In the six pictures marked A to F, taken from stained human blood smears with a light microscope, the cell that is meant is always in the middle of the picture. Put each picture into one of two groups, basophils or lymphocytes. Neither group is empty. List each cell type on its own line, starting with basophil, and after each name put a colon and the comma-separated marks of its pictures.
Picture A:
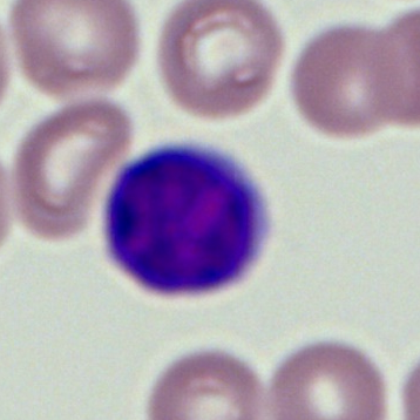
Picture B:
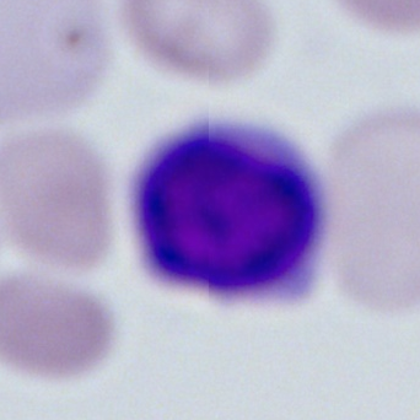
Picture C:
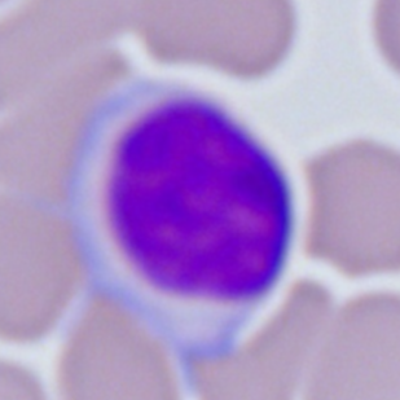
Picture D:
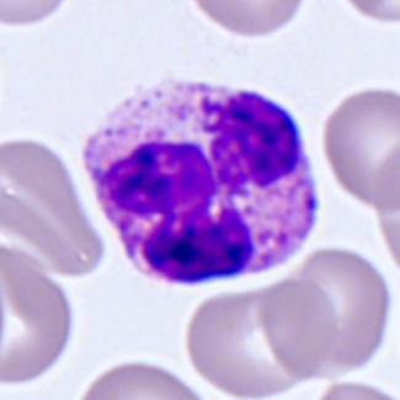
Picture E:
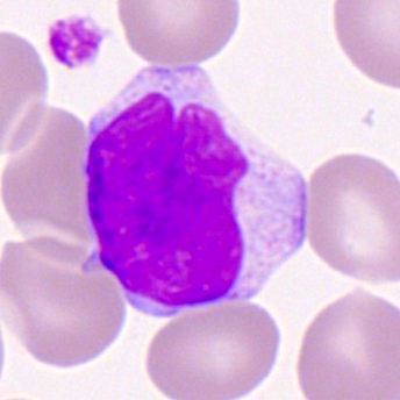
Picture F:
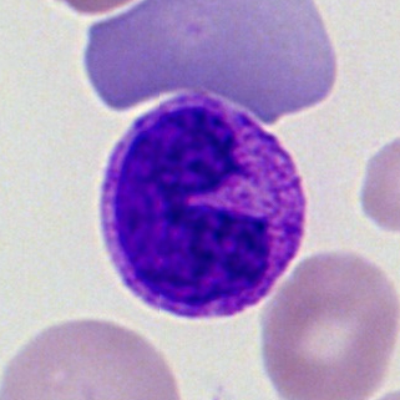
basophil: D, F
lymphocyte: A, B, C, E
